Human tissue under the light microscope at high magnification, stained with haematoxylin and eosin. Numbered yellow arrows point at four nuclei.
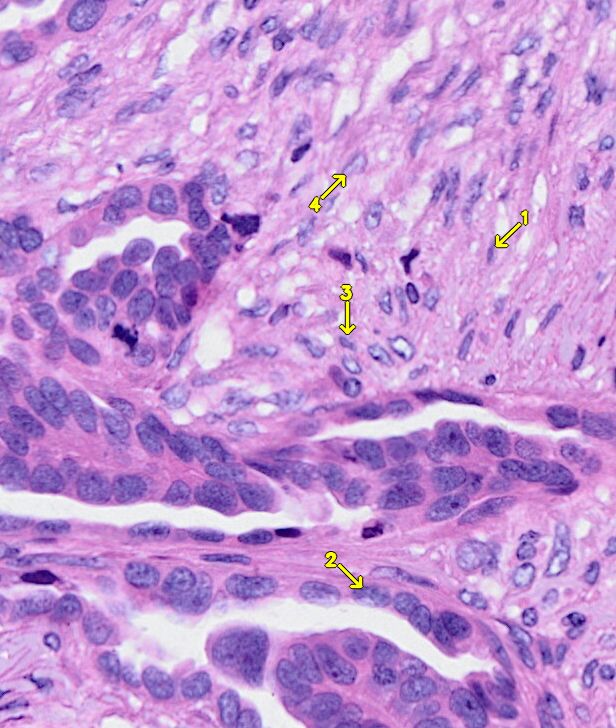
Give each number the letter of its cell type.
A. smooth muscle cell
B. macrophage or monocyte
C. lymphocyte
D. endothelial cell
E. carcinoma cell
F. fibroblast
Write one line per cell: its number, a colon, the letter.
1: F
2: E
3: F
4: F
